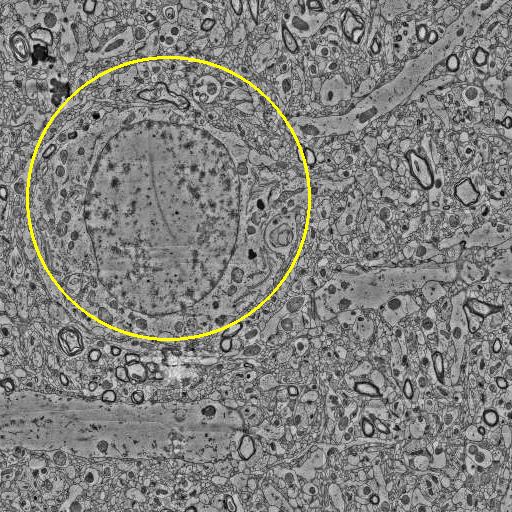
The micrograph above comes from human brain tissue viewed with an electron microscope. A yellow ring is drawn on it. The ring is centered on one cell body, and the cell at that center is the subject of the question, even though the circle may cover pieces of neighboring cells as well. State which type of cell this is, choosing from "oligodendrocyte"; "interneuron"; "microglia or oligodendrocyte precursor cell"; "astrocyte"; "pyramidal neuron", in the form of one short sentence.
The cell the ring is centered on is an interneuron.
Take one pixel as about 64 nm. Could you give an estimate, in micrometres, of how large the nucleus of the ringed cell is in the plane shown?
In this plane the nucleus spans approximately 13 by 10 micrometers.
